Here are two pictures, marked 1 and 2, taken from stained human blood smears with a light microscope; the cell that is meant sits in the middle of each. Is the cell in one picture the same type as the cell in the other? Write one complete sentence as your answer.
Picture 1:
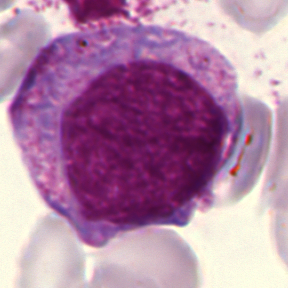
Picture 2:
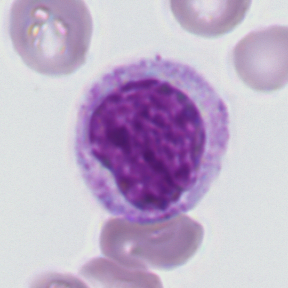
No, they differ: the cell is a promyelocyte in picture 1 and a myelocyte in picture 2.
